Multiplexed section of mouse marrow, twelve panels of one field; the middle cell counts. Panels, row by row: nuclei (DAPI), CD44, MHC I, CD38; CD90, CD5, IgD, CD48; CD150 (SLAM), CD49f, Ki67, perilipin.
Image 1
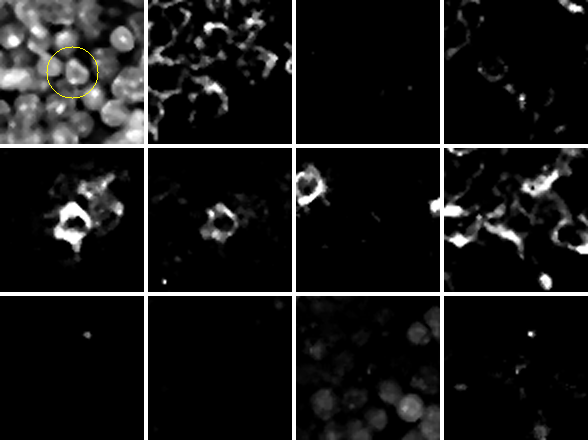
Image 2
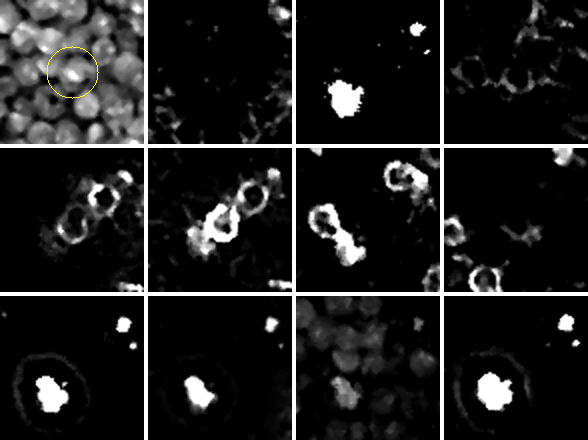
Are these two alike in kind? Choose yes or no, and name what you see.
Yes. T cells.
